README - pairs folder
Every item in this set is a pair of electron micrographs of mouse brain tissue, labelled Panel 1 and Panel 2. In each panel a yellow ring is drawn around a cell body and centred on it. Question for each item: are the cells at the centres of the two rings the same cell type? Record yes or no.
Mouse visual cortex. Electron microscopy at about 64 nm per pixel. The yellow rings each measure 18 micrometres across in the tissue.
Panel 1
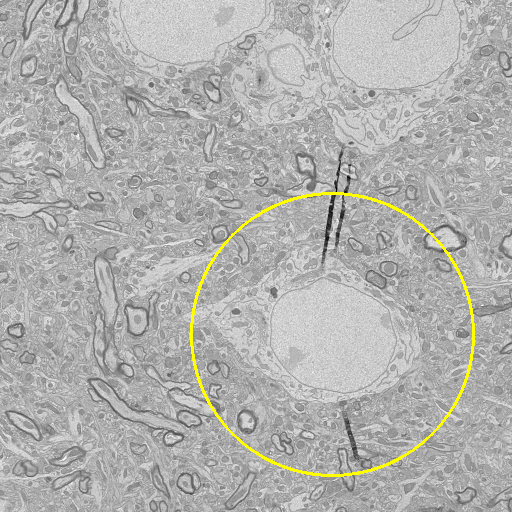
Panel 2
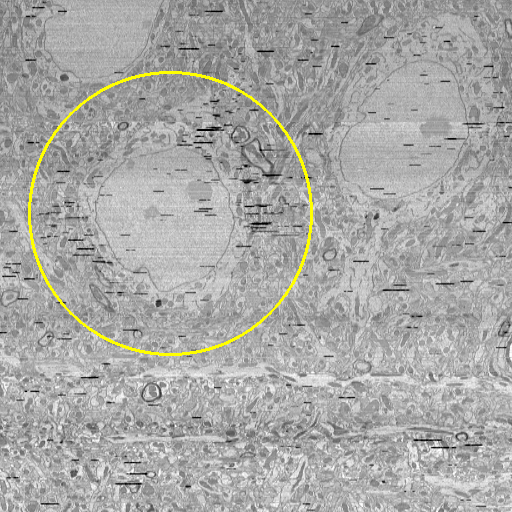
yes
